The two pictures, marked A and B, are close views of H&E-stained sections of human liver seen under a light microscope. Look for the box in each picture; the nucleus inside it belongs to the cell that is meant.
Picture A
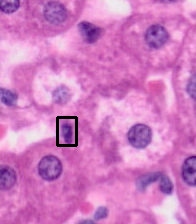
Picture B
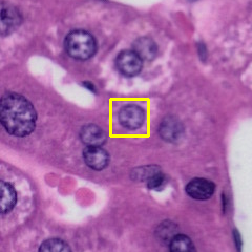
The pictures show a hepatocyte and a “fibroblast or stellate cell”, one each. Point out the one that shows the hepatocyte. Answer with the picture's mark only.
B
